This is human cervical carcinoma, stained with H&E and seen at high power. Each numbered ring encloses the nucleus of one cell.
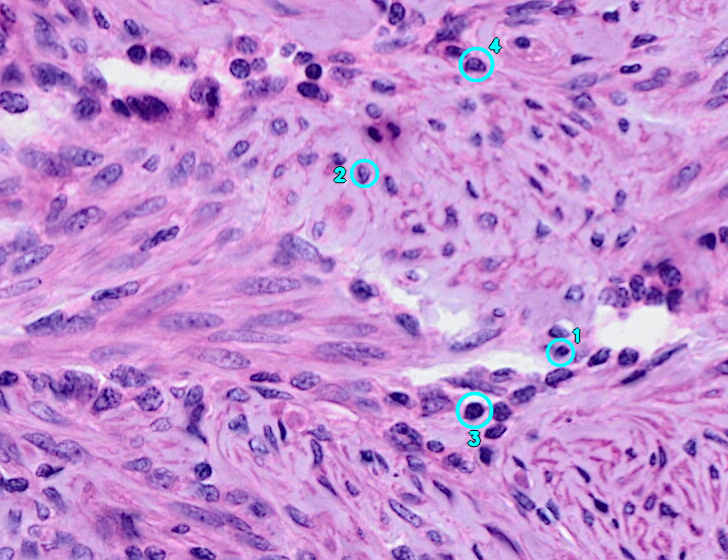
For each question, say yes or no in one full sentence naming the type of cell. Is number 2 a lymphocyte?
No, cell 2 is not a lymphocyte; a smooth muscle cell is correct.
